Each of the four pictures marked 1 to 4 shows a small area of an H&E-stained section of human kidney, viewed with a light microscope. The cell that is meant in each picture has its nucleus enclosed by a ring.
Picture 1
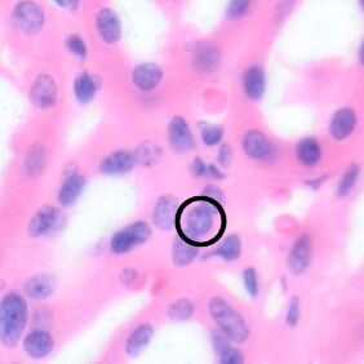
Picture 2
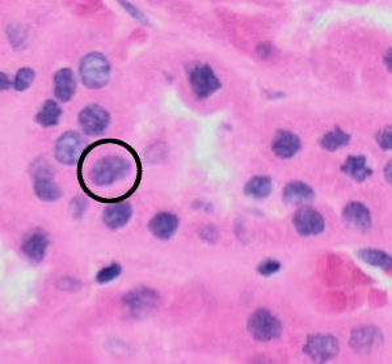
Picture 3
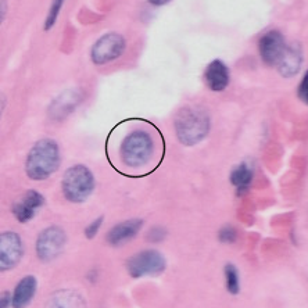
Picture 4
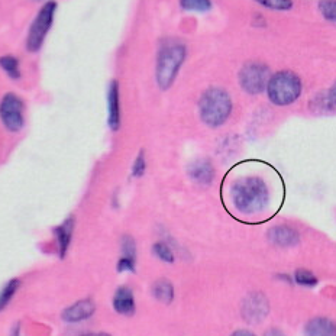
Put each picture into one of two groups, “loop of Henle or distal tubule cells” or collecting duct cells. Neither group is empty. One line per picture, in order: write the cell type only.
collecting duct cell
loop of Henle or distal tubule cell
loop of Henle or distal tubule cell
loop of Henle or distal tubule cell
